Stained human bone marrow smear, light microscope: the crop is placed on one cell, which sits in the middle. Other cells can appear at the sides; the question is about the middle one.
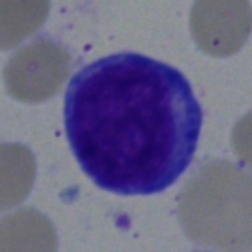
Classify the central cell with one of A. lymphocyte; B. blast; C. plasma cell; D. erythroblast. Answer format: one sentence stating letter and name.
As the central cell is a blast, option B is correct.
